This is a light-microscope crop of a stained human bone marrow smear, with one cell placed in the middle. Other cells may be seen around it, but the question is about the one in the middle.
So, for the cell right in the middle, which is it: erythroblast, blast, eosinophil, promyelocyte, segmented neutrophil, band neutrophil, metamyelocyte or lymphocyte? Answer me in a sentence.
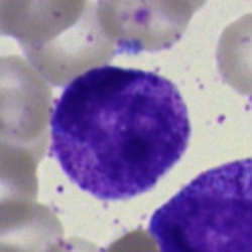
At the center of the crop sits a metamyelocyte.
